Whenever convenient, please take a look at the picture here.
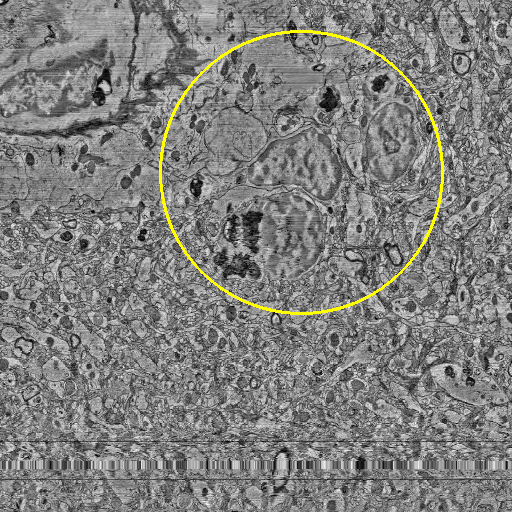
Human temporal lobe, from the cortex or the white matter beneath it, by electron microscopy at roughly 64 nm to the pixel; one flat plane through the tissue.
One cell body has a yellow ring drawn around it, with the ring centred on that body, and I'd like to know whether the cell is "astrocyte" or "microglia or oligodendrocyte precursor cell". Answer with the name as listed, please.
microglia or oligodendrocyte precursor cell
